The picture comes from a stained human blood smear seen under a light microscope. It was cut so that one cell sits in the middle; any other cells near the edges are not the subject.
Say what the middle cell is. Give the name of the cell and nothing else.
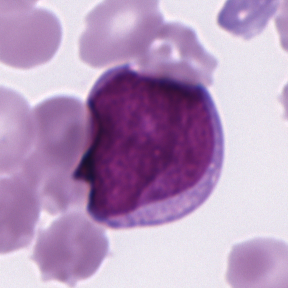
myeloblast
